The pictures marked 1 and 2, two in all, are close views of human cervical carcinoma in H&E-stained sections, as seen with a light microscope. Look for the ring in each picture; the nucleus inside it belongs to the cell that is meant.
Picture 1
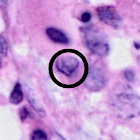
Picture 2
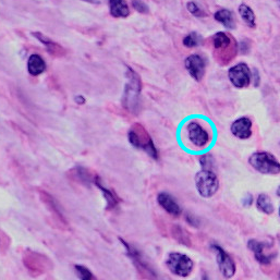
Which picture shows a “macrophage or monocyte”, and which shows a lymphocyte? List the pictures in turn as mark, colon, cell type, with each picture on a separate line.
1: macrophage or monocyte
2: lymphocyte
